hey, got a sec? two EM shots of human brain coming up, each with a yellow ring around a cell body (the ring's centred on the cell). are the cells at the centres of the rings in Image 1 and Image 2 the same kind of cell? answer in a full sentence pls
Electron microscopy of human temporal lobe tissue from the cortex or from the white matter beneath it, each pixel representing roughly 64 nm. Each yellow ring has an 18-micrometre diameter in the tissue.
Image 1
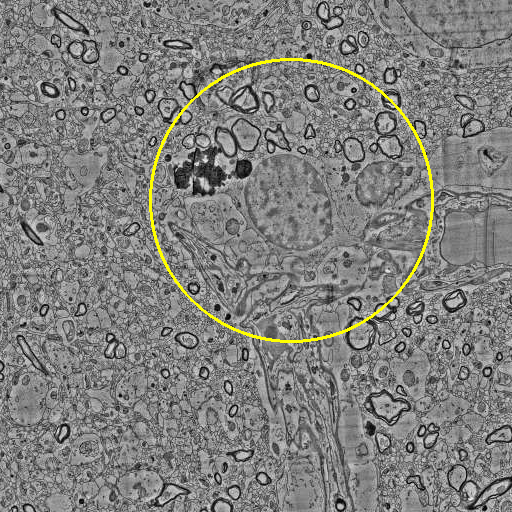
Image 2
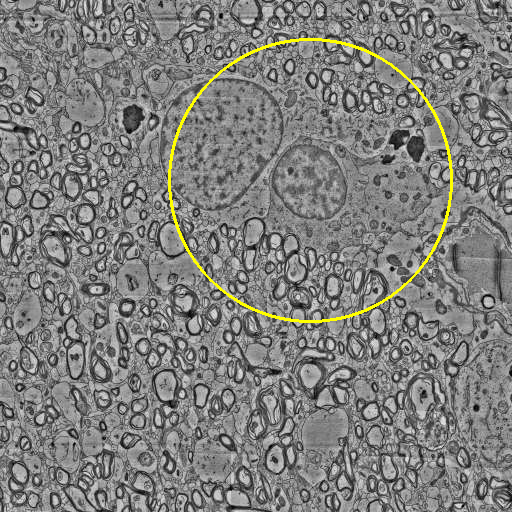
Yes, both are the same kind of cell.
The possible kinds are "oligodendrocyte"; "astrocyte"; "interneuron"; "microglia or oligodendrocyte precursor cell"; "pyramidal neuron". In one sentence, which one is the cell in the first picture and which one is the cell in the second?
Each of the two rings is centred on an oligodendrocyte.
